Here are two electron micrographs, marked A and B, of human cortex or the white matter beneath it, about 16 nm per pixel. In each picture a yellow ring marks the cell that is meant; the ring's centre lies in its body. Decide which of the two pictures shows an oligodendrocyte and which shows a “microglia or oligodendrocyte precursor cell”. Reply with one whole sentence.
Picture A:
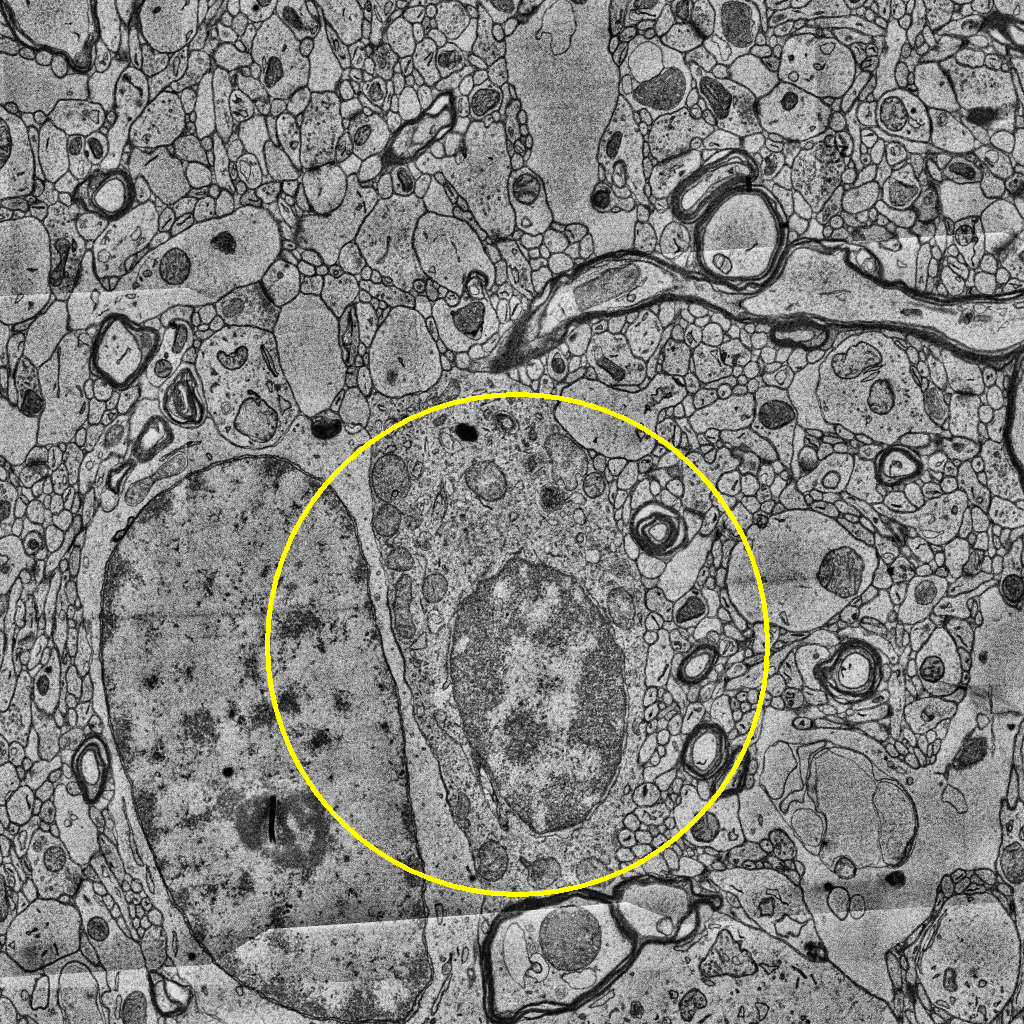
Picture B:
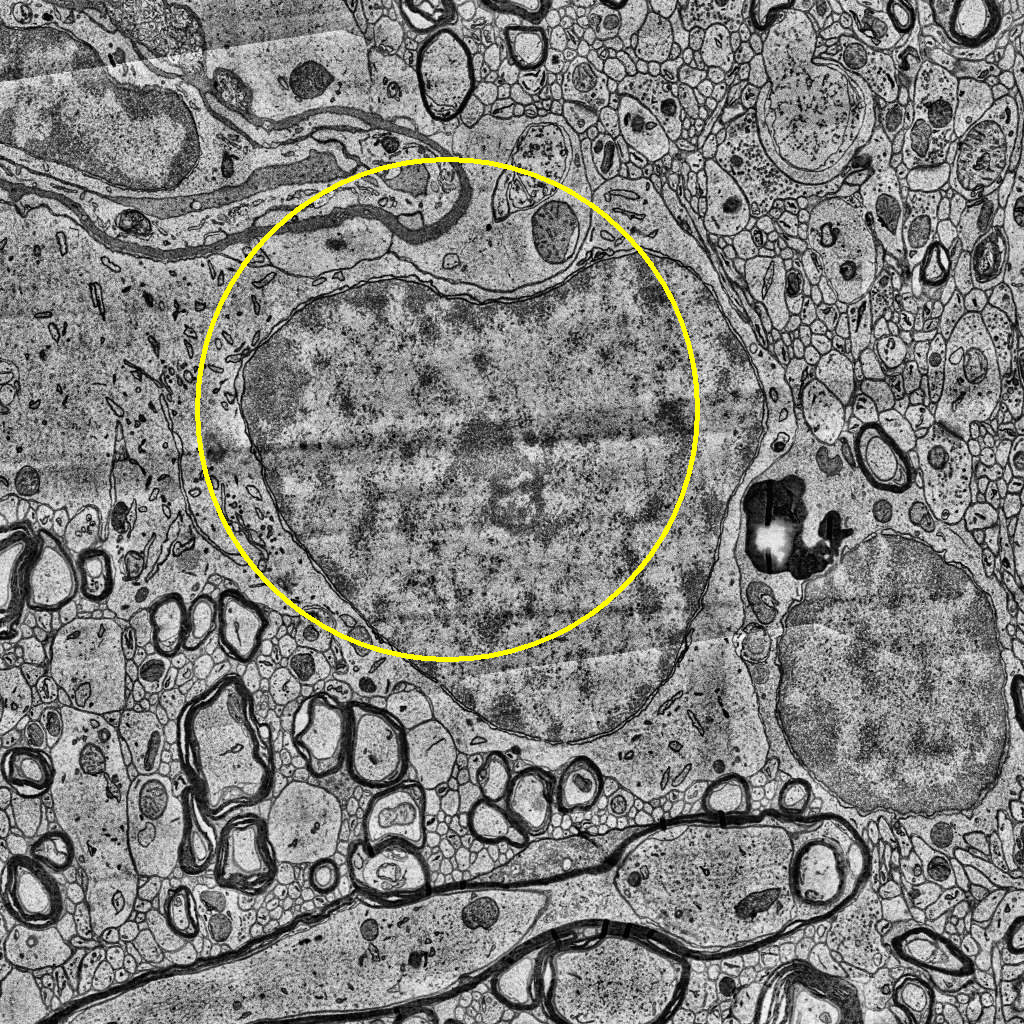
Picture A is of an oligodendrocyte, and picture B is of a “microglia or oligodendrocyte precursor cell”.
